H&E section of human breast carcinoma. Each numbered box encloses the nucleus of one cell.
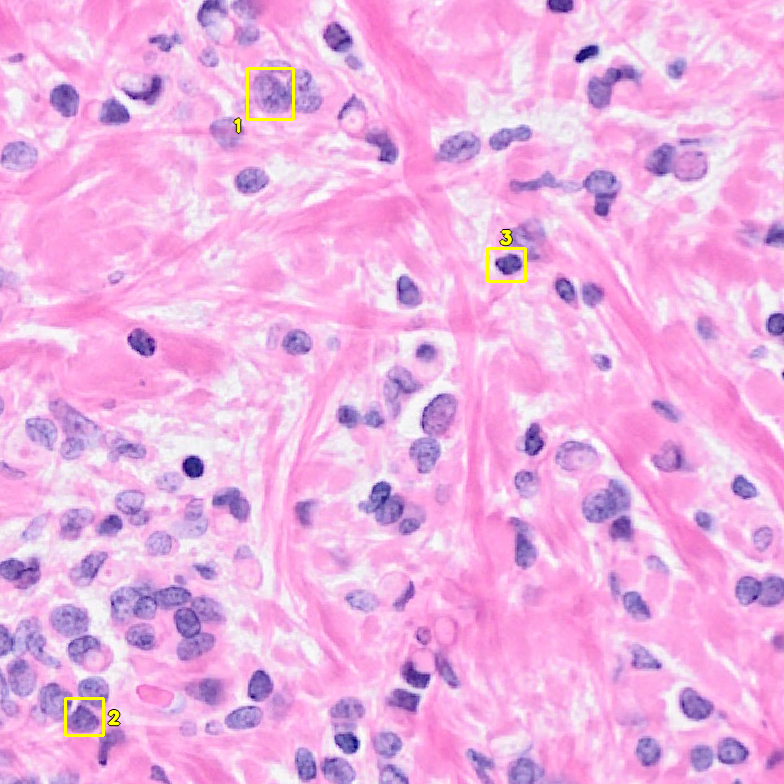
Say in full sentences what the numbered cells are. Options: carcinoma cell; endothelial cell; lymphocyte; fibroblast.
Cell 1 is a carcinoma cell, cell 2 is a carcinoma cell and cell 3 is a lymphocyte.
